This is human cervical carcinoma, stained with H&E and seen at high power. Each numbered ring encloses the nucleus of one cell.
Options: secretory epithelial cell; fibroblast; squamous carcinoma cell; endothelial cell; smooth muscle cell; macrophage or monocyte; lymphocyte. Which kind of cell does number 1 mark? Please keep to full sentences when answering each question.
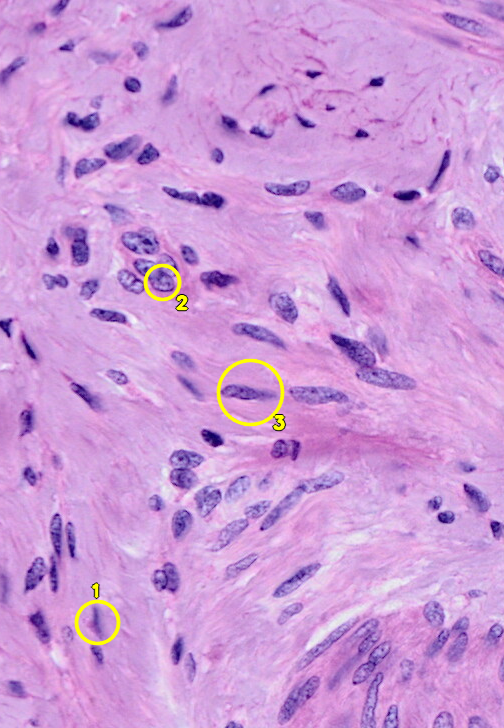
The marked cell with the number 1 is recognised as a fibroblast.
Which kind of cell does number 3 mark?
In this section, the cell numbered 3 is a fibroblast.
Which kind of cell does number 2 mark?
Cell 2 is classified as an endothelial cell.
